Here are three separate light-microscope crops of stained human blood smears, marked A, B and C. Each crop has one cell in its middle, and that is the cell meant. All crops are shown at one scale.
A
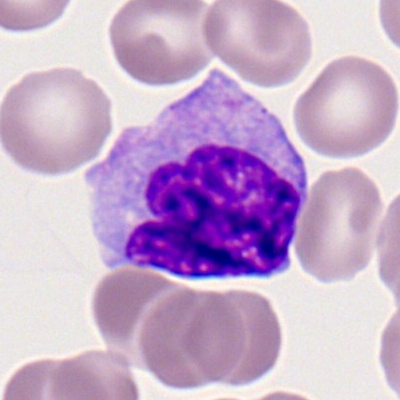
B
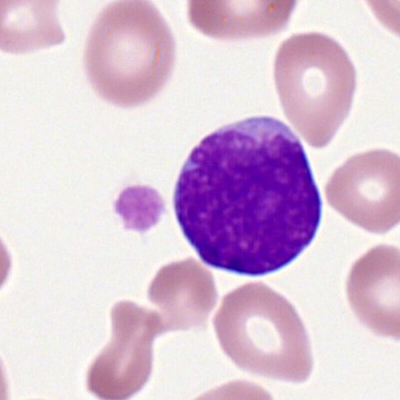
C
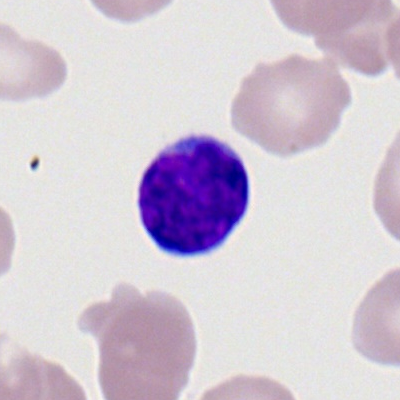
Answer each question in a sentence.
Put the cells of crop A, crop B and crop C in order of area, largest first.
The order is A, B, C, beginning with the largest.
